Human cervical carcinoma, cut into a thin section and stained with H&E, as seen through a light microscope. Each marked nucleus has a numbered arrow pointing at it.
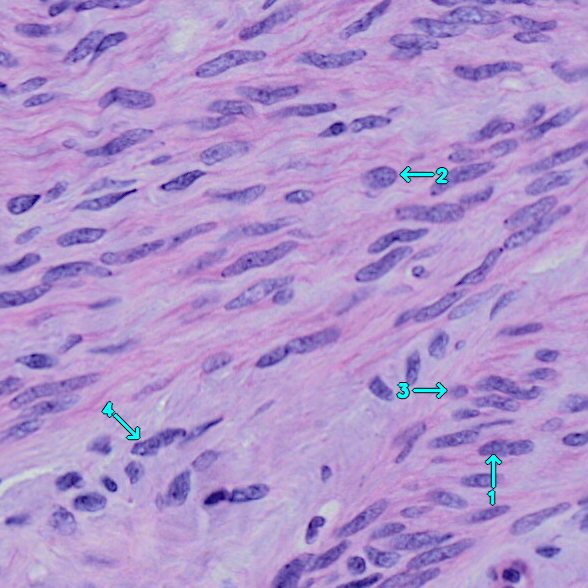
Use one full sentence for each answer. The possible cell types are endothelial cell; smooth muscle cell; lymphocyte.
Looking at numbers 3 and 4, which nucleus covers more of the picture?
The larger nucleus is 4, at roughly 1.5 times the area of 3.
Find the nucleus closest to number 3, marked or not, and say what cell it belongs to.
The cell nearest to number 3 is a smooth muscle cell.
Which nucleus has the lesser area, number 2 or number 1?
Nucleus 1 covers less area, with nucleus 2 about 2.5 times as large.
